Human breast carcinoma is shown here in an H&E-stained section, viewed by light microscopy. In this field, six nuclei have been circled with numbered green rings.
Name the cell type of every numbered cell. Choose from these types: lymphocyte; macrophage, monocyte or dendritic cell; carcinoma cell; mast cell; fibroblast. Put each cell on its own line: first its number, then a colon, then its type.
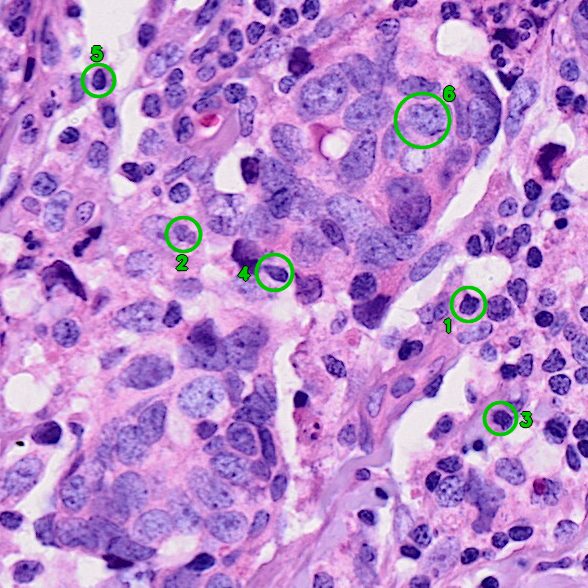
1: lymphocyte
2: macrophage, monocyte or dendritic cell
3: lymphocyte
4: lymphocyte
5: lymphocyte
6: carcinoma cell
